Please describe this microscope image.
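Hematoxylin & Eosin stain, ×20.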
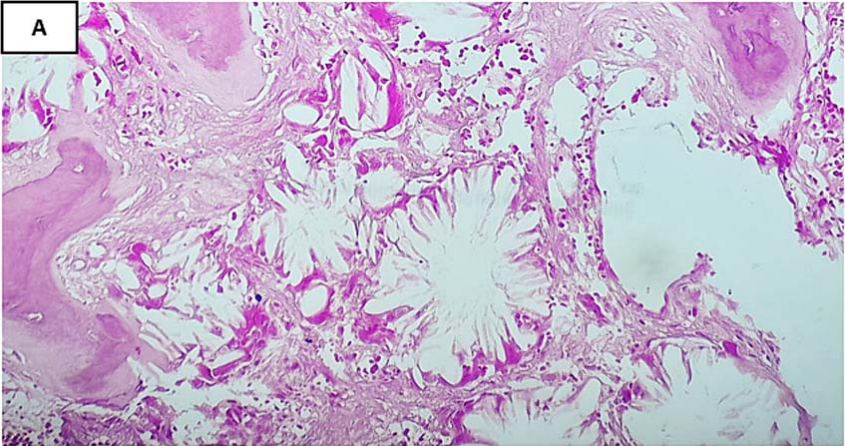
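Several pale, nearly colourless deposits with a radiating, rosette-like pattern of blade-shaped spaces lie within loose, cellular tissue, and pink cytoplasm with dark nuclei wraps tightly around their edges. Larger homogeneous pink masses lie at the margins of the field. These are calcium oxalate crystals surrounded by a foreign body giant cell reaction.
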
